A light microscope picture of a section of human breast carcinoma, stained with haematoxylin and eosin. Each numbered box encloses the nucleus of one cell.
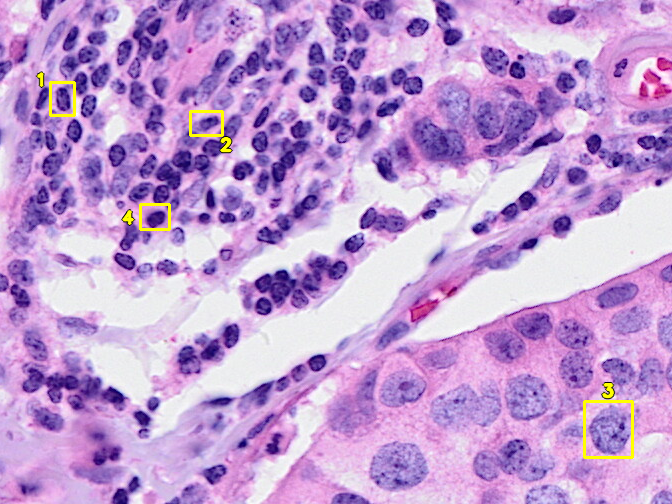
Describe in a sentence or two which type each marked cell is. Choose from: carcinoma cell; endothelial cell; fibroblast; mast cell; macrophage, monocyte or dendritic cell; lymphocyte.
Cells 1, 2 and 4 are lymphocytes. Cell 3 is a carcinoma cell.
